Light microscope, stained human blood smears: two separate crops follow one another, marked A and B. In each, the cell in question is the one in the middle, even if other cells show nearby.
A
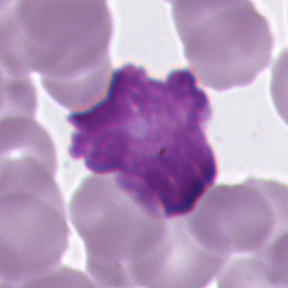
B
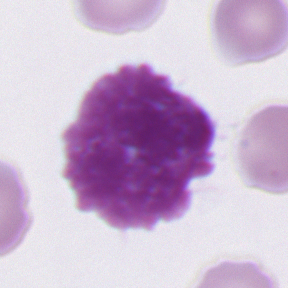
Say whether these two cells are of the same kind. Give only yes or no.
yes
